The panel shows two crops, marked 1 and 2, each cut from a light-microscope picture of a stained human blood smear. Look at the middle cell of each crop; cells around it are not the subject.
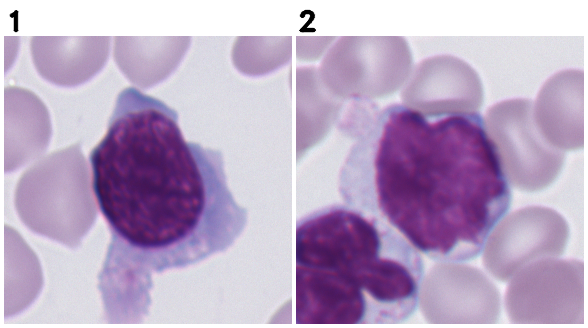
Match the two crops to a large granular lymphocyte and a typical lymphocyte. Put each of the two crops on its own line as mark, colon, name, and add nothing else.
1: typical lymphocyte
2: large granular lymphocyte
